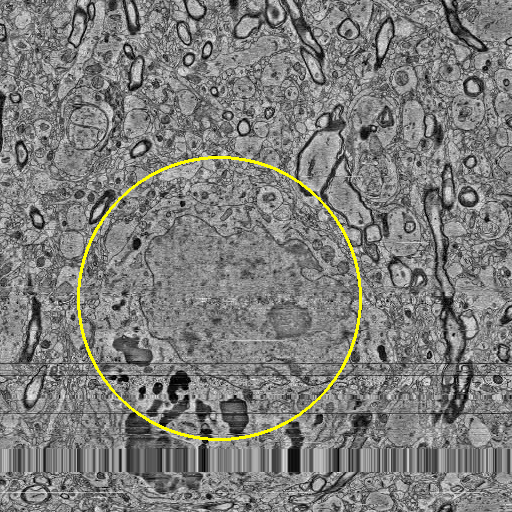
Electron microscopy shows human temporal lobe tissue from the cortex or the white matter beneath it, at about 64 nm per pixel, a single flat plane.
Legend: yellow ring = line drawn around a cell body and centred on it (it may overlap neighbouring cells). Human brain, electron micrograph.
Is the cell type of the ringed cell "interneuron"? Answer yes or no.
yes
